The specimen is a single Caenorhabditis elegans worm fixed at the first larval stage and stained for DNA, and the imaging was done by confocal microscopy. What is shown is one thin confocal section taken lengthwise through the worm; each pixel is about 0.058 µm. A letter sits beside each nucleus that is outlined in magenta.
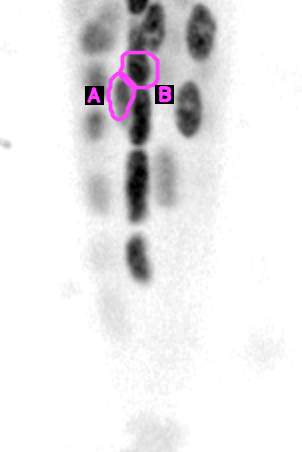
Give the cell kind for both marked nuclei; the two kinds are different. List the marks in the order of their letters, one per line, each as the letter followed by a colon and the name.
A: pharyngeal muscle cell
B: pharyngeal epithelial cell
